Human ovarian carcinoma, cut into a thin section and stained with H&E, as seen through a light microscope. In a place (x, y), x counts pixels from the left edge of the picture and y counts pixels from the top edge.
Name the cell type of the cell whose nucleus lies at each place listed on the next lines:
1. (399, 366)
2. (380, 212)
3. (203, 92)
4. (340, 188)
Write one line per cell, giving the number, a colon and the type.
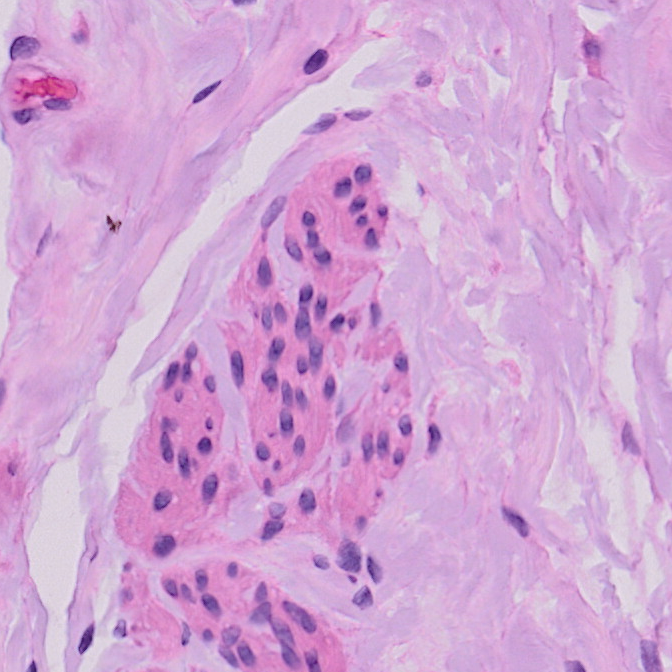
1: smooth muscle cell
2: smooth muscle cell
3: fibroblast
4: smooth muscle cell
